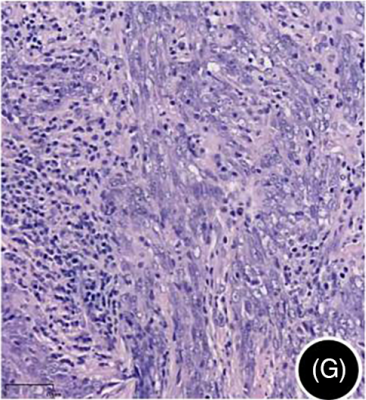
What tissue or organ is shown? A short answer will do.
Lymphocyte-rich stroma.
